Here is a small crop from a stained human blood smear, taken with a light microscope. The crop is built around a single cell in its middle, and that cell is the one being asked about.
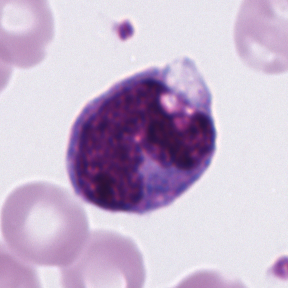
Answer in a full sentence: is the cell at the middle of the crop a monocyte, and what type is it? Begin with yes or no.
Yes, the cell at the centre of this crop is identified as a monocyte.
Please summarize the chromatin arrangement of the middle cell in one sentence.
Answer: the chromatin in this nucleus is coarsely clumped.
